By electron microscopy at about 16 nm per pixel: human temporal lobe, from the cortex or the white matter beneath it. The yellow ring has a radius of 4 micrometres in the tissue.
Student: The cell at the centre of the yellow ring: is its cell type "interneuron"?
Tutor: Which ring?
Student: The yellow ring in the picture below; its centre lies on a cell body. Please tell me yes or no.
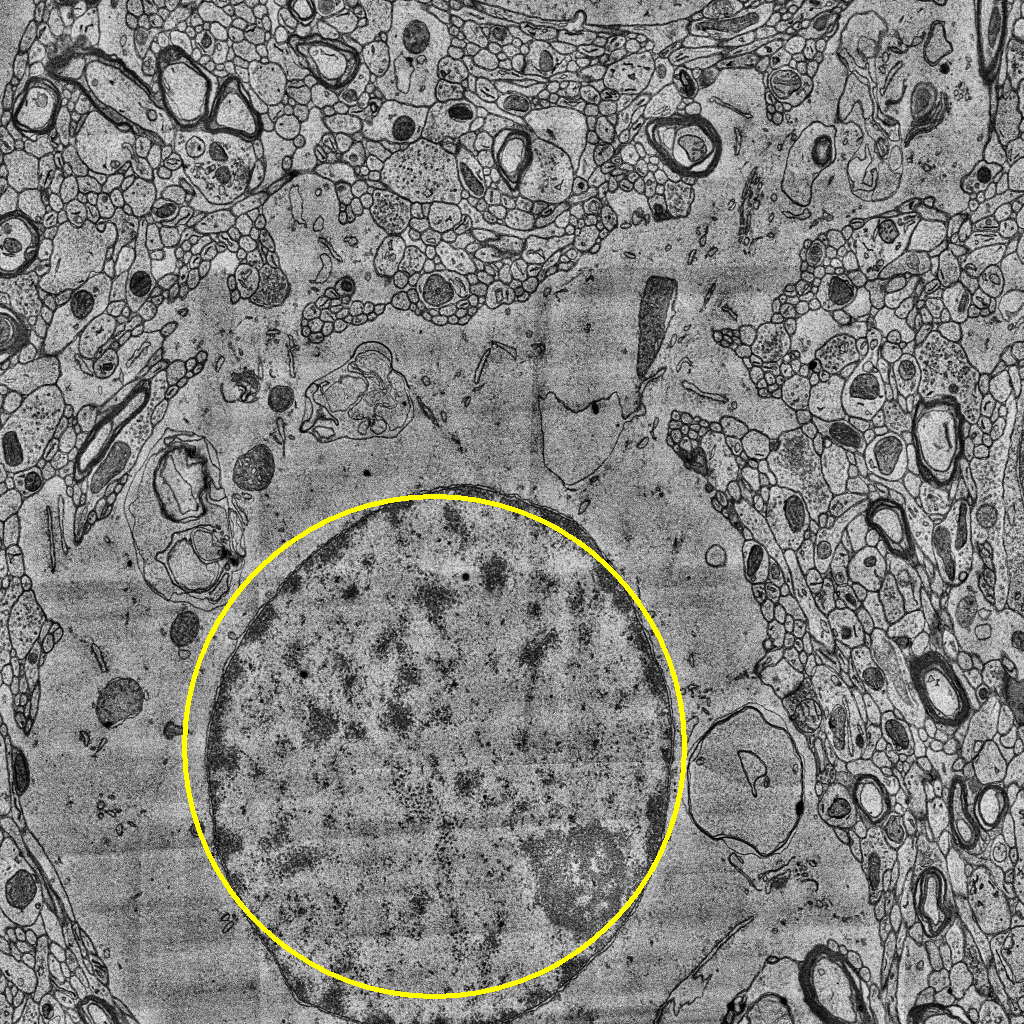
no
